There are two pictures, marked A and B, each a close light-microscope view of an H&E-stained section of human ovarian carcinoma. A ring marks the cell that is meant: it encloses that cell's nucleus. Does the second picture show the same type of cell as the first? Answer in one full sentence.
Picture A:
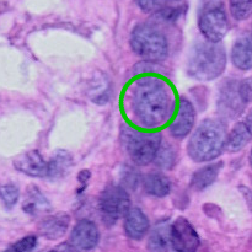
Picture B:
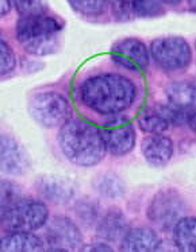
Yes; the cells in both pictures are carcinoma cells.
